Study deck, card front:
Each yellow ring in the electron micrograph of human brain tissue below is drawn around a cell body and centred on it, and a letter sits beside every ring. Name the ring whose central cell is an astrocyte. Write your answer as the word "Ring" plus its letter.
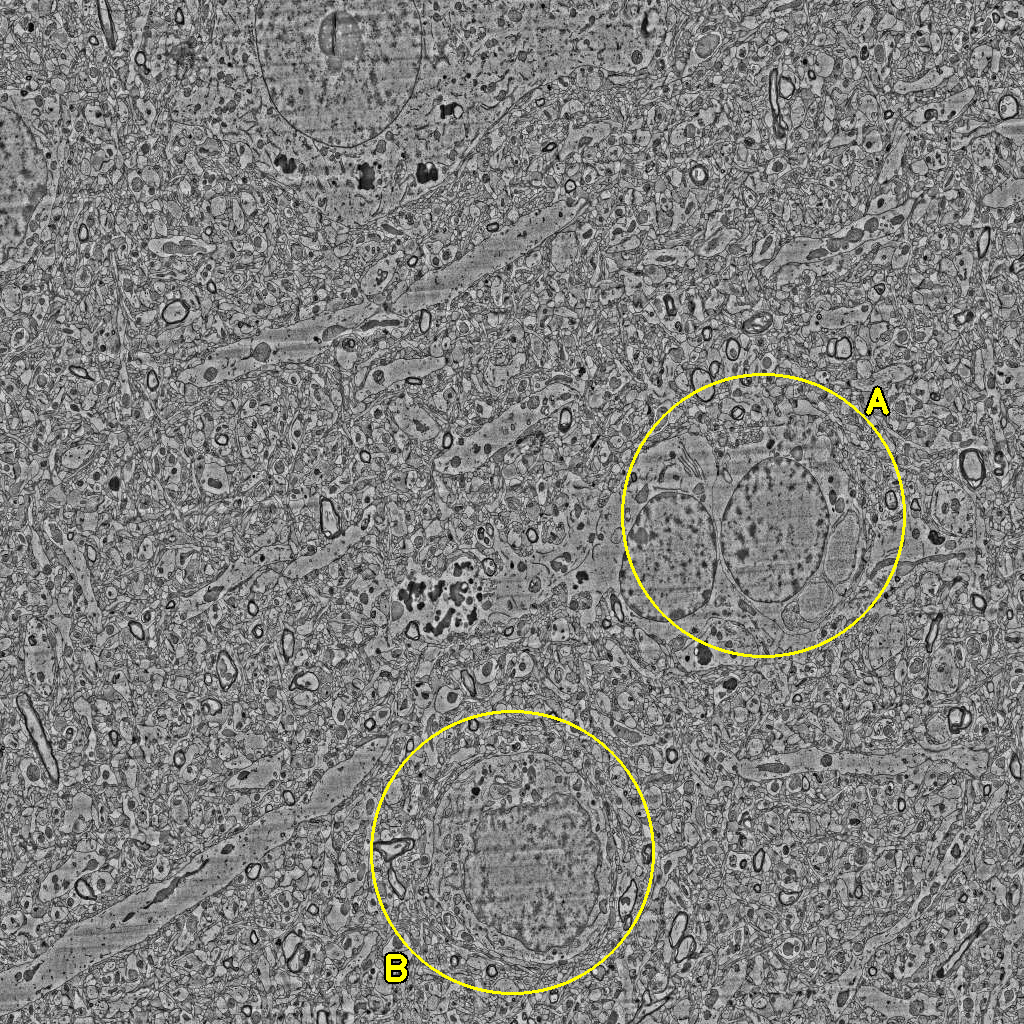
Ring A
